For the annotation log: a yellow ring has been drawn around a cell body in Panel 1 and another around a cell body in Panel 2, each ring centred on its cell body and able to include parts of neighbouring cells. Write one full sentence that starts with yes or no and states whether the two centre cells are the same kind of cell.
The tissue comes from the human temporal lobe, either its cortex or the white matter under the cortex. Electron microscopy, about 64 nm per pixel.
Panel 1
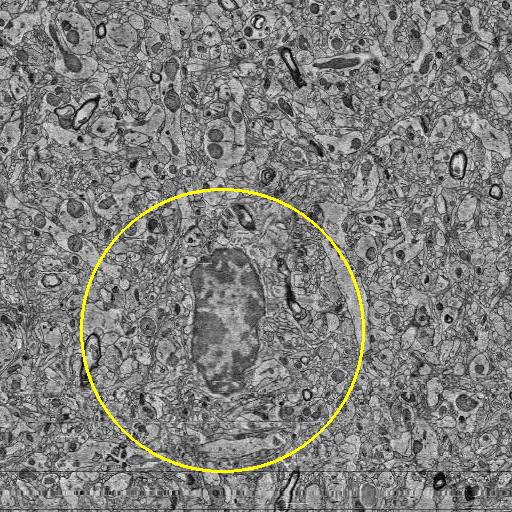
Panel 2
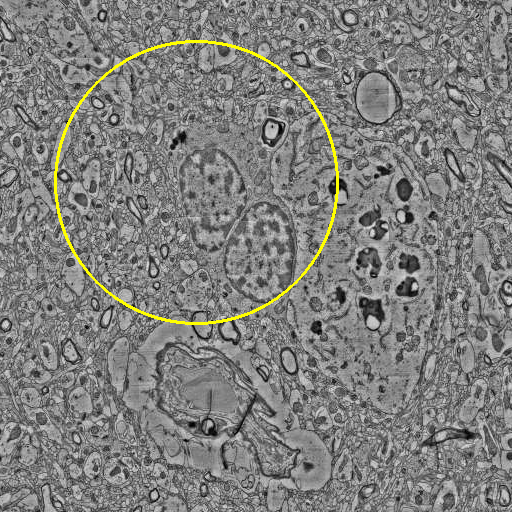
No, the two centre cells are two kinds of cell.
